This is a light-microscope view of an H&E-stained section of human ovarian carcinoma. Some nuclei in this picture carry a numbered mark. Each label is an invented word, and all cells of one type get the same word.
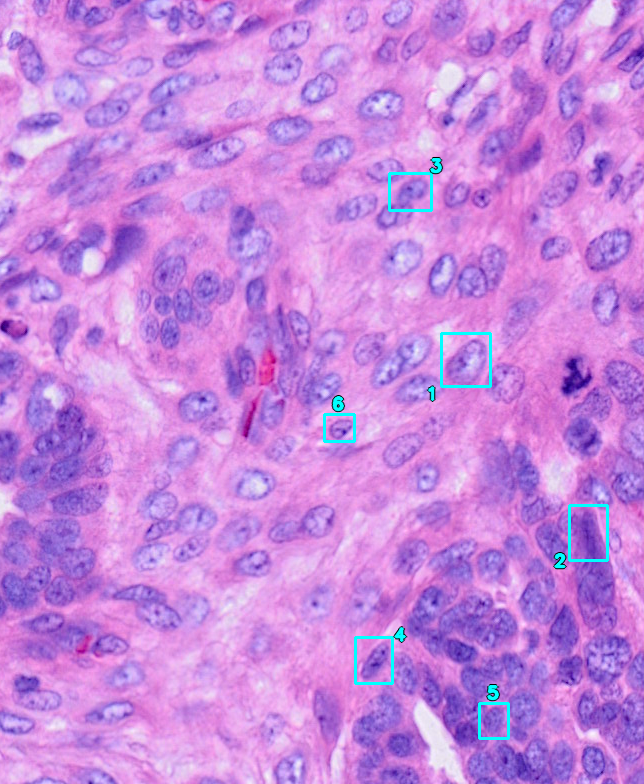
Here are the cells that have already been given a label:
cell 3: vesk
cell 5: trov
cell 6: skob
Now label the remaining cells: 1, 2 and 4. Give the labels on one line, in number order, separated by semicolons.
vesk; trov; skob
